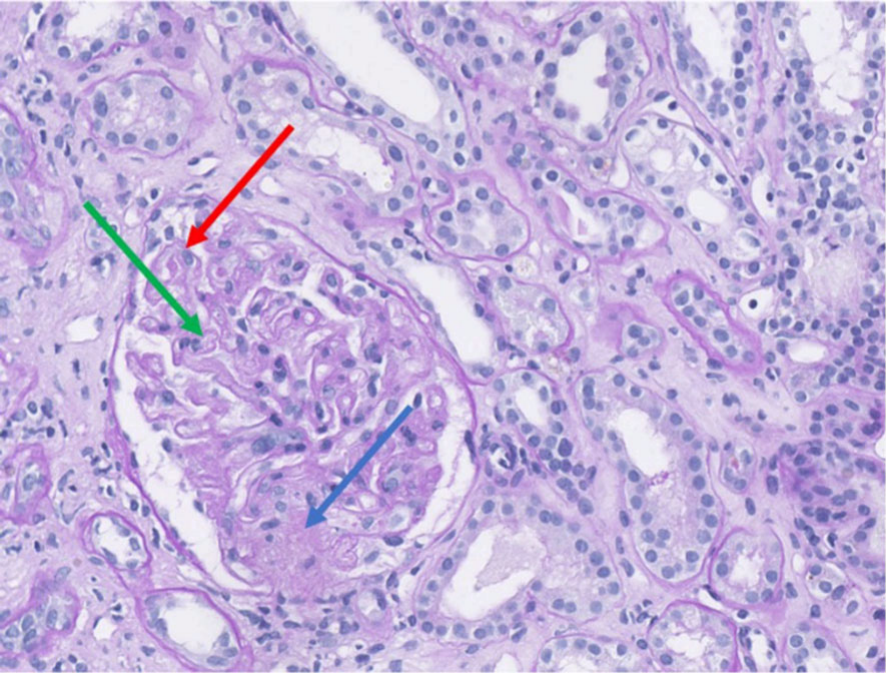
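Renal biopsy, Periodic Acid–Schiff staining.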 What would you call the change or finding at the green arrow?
Segmental ischemic lesion.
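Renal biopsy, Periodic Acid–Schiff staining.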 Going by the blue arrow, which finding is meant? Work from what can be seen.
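The blue arrow points to the lower part of the tuft. There the tuft is a pale pink, loose, fibrillar area without clear loop outlines.
Answer: mesangiolysis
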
